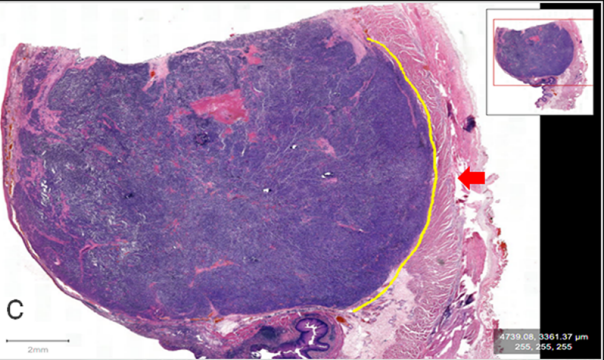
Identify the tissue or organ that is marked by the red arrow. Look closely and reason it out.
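Muscle layer. The arrow points to a pale pink fibrillar band lying outside the dark purple mass. The band runs along the outer edge of the mass and is continuous.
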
